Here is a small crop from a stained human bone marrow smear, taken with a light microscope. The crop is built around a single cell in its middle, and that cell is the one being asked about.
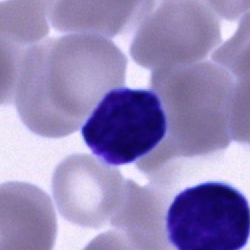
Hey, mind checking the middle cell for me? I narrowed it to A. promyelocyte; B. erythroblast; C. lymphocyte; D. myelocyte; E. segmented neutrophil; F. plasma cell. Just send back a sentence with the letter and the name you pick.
Of the options given, C is correct, the central cell being a lymphocyte.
